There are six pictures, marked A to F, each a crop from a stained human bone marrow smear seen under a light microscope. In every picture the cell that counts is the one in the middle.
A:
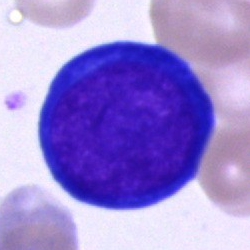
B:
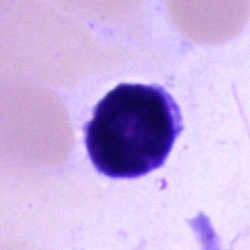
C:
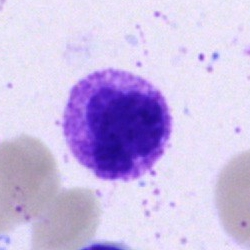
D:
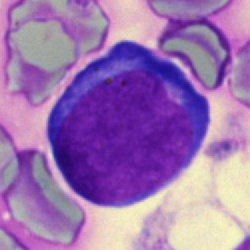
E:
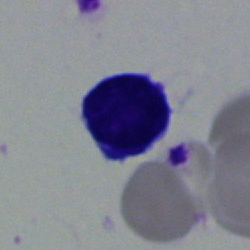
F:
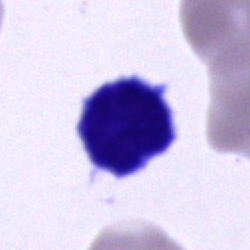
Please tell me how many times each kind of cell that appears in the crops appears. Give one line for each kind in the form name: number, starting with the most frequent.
lymphocyte: 3
proerythroblast: 2
basophil: 1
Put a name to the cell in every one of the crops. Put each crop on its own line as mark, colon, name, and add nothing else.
A: proerythroblast
B: lymphocyte
C: basophil
D: proerythroblast
E: lymphocyte
F: lymphocyte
